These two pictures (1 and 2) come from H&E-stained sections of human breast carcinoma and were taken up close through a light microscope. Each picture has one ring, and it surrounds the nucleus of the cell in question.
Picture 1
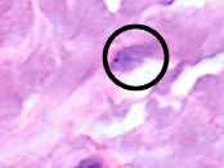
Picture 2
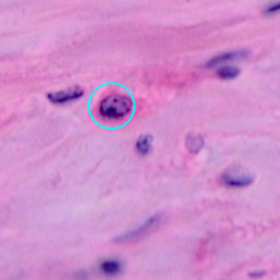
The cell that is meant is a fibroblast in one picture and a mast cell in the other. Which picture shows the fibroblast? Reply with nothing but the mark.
1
